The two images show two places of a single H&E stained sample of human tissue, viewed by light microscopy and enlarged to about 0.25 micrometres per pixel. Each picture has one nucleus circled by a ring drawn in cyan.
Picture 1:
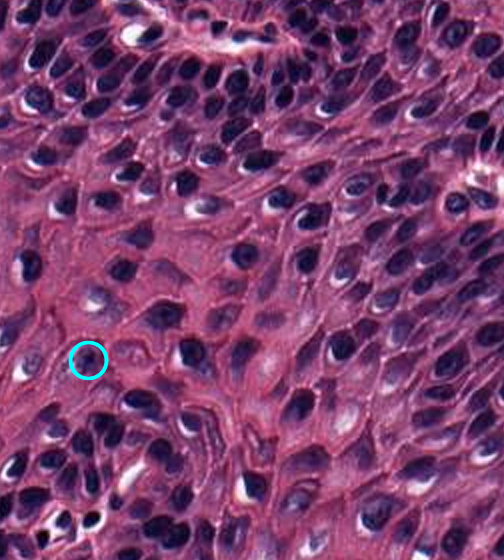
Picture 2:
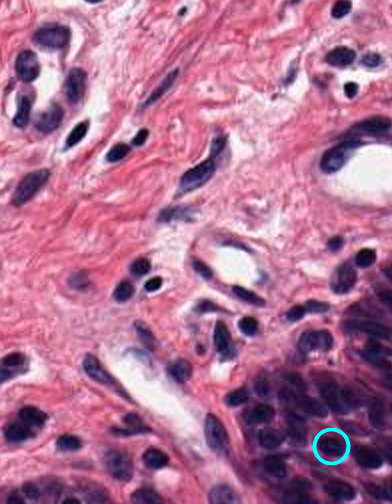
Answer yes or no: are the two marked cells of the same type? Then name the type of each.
Yes, both are squamous epithelial cells.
